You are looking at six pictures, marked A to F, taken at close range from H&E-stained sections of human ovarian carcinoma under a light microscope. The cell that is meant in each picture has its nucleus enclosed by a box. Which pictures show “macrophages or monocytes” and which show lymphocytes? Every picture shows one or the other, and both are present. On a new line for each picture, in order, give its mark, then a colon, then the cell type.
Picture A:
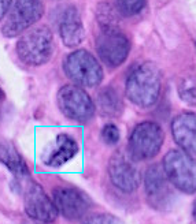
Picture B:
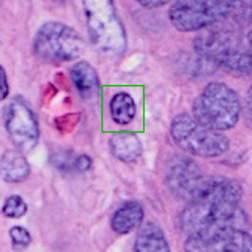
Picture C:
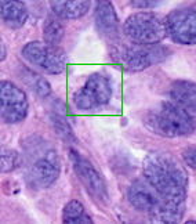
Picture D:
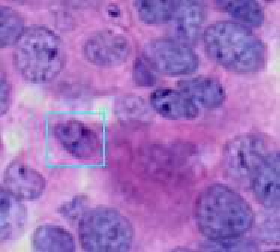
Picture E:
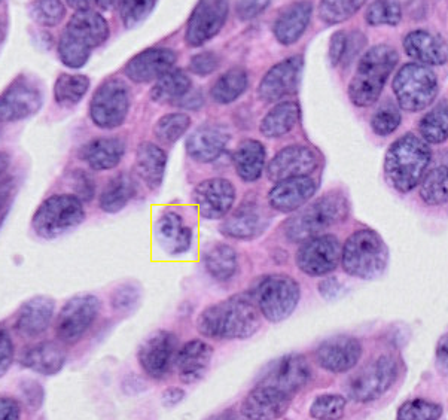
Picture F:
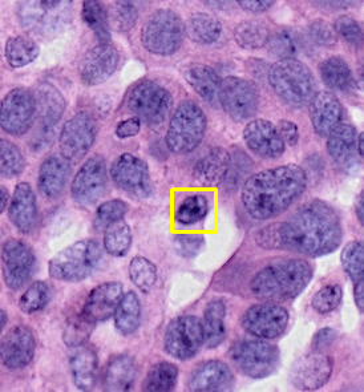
A: macrophage or monocyte
B: lymphocyte
C: macrophage or monocyte
D: macrophage or monocyte
E: macrophage or monocyte
F: lymphocyte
